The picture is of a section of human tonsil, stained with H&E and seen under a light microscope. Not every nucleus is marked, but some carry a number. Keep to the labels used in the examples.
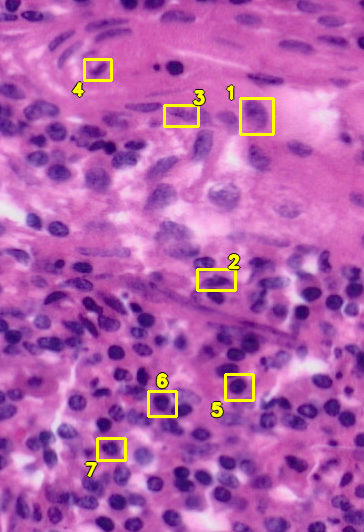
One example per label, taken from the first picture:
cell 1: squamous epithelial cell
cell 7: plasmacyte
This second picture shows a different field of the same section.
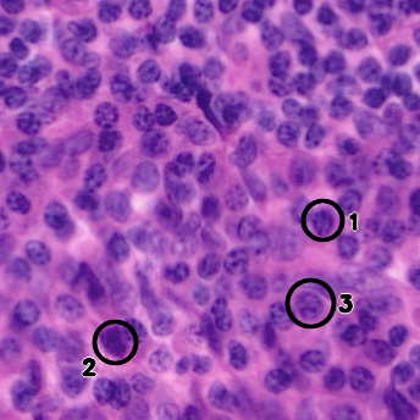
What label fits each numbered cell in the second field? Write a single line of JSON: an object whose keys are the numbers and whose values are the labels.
{"1": "plasmacyte", "2": "squamous epithelial cell", "3": "plasmacyte"}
